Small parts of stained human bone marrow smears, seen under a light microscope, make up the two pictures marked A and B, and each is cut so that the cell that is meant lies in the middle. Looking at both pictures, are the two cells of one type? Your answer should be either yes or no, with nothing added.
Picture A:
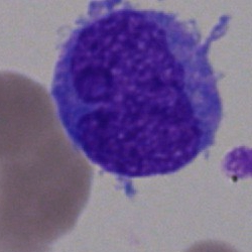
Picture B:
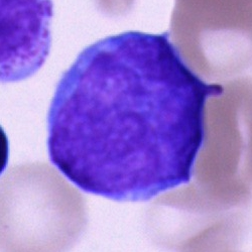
yes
